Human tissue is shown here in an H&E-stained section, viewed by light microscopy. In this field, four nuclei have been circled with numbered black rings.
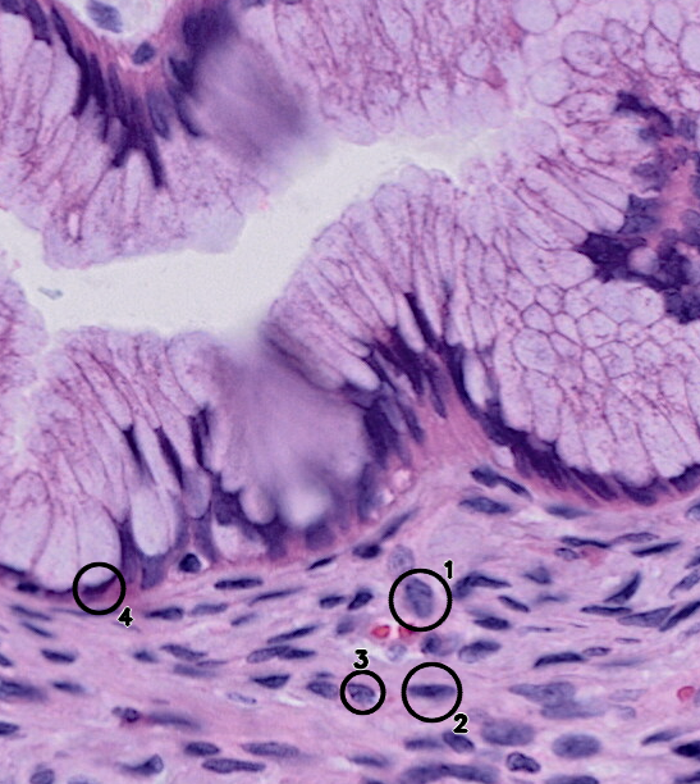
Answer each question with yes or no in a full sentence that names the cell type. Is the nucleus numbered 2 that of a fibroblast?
Yes, the cell labelled with number 2 is a fibroblast.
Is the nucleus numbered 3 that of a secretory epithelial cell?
No, the cell at number 3 is an endothelial cell instead of a secretory epithelial cell.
